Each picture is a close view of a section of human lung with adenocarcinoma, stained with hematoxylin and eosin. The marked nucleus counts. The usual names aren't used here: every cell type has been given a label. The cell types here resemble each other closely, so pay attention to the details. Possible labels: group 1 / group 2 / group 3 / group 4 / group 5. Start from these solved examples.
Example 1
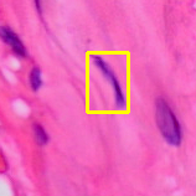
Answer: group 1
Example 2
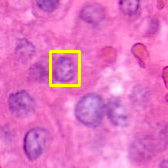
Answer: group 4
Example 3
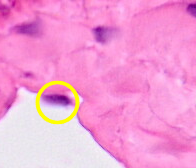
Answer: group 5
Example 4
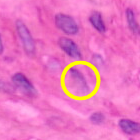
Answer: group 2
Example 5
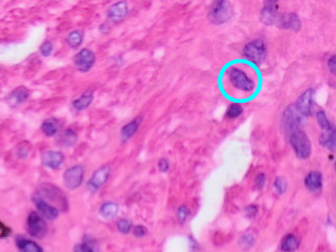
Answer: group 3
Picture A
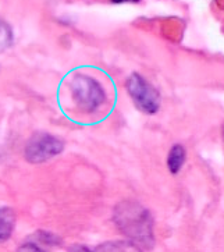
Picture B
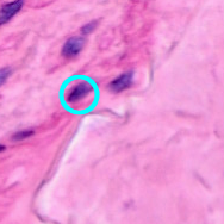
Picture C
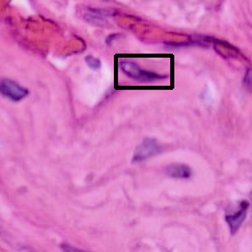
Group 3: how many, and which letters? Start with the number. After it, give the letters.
0, none of them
